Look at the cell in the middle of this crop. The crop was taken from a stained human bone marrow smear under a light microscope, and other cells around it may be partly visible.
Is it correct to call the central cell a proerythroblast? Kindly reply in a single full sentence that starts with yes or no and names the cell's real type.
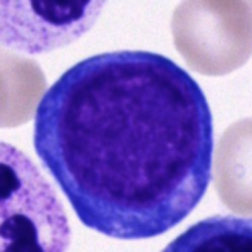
Yes, in the middle of the crop is a proerythroblast.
